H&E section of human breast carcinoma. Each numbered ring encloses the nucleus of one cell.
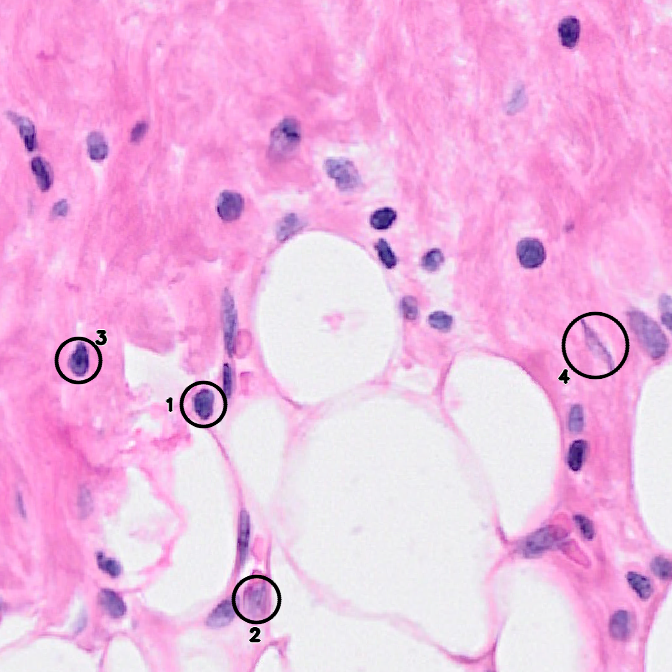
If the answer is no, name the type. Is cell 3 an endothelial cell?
No, it is a lymphocyte.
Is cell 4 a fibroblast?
Yes.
